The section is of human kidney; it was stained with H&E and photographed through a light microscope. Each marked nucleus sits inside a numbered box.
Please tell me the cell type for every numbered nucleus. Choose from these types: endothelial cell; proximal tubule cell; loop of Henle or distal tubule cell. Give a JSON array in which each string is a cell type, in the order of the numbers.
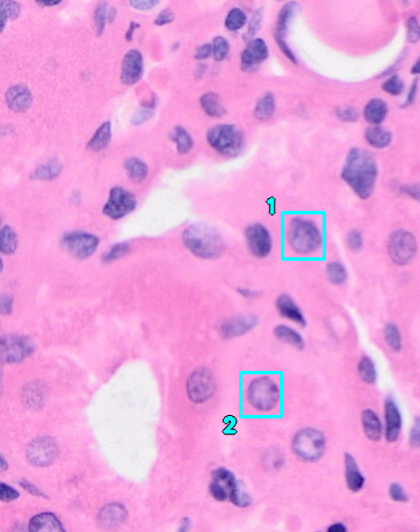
["loop of Henle or distal tubule cell", "proximal tubule cell"]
